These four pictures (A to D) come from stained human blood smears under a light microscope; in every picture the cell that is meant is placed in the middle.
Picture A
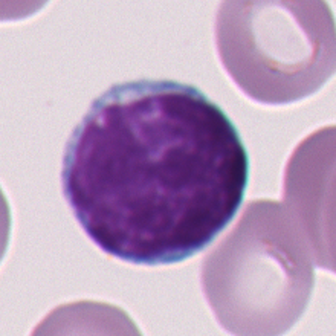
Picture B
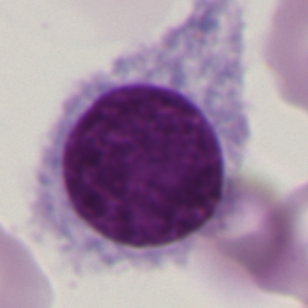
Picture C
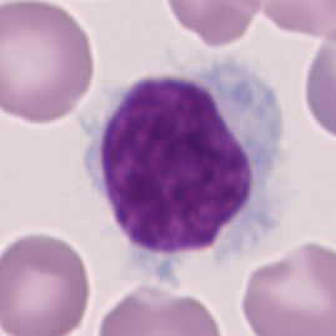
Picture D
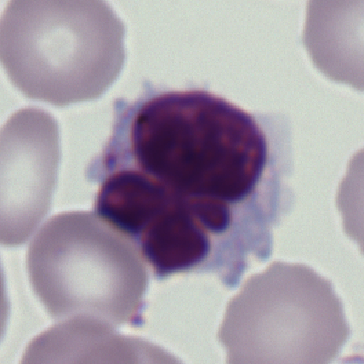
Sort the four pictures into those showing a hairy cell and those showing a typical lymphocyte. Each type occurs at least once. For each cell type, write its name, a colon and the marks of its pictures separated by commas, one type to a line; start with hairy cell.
hairy cell: B, C
typical lymphocyte: A, D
